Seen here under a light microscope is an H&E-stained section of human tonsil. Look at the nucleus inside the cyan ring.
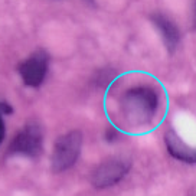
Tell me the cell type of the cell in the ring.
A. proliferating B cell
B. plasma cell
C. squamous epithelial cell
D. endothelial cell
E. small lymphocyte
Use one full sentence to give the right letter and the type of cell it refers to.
Here the cell in the ring is a squamous epithelial cell, which makes option C correct.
